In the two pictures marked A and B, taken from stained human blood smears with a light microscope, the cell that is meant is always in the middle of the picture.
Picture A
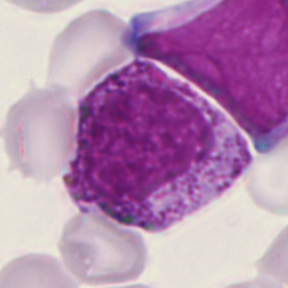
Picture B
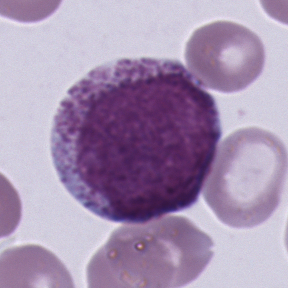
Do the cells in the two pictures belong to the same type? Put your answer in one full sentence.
Yes, they are the same type: both are myelocytes.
